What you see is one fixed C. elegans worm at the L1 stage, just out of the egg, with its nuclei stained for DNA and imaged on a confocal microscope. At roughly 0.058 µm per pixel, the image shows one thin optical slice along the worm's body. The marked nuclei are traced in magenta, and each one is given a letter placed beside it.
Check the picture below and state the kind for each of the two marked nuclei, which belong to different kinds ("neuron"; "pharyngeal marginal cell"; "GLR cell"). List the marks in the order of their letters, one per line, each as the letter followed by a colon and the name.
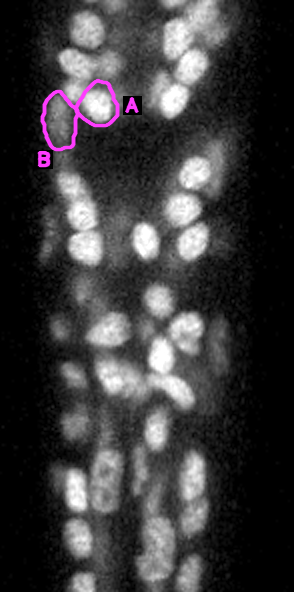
A: GLR cell
B: neuron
